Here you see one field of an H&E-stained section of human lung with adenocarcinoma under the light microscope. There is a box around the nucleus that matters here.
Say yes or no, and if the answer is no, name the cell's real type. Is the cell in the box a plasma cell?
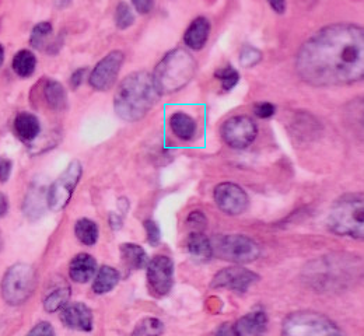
No, it is a lymphocyte.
